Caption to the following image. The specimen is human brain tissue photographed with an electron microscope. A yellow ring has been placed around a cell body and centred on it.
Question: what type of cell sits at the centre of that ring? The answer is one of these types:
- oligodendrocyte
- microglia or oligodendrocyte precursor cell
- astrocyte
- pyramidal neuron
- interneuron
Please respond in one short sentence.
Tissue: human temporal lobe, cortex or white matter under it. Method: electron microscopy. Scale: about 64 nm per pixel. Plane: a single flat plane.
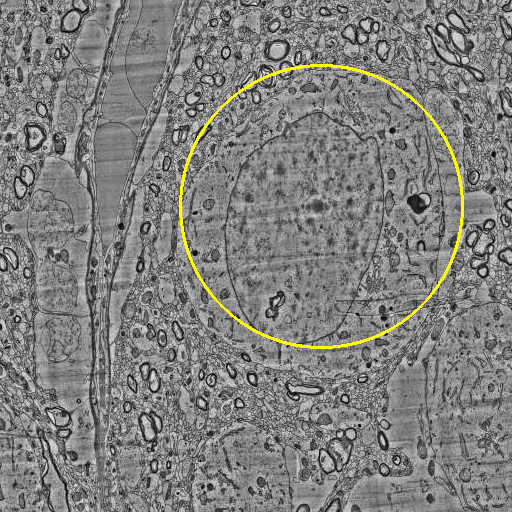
The ring surrounds the cell body of a pyramidal neuron.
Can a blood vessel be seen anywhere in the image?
Yes, a vessel appears in the picture.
